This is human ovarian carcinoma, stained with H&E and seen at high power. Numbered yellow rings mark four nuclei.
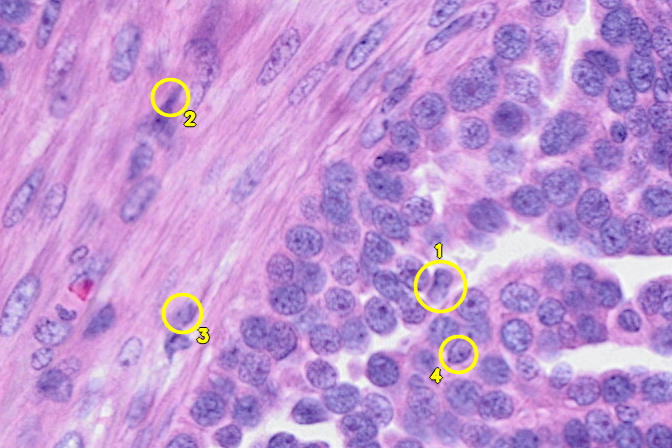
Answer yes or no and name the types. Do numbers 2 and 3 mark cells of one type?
Yes, both are fibroblasts.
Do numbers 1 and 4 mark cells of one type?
Yes, both are macrophages or monocytes.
